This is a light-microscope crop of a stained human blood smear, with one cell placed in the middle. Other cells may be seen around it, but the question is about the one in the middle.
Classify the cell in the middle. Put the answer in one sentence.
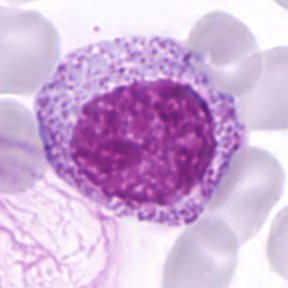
Classified as a myelocyte is the cell in the middle of this crop.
